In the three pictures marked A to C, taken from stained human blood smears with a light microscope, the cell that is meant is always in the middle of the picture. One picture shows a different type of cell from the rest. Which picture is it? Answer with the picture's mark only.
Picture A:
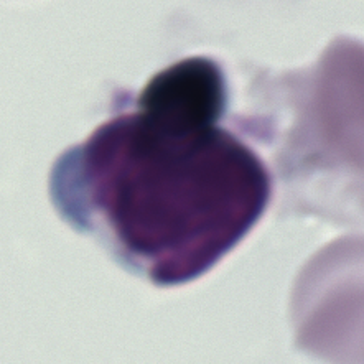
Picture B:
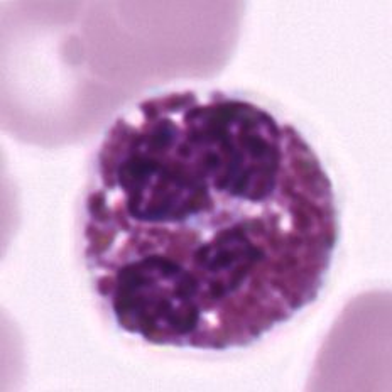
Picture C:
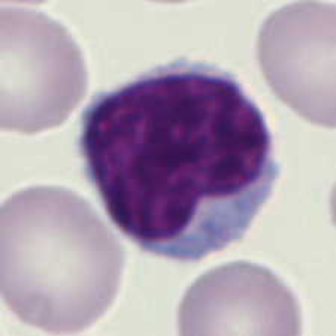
B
